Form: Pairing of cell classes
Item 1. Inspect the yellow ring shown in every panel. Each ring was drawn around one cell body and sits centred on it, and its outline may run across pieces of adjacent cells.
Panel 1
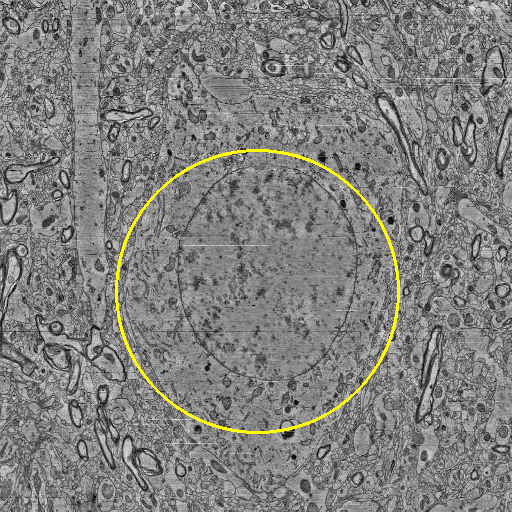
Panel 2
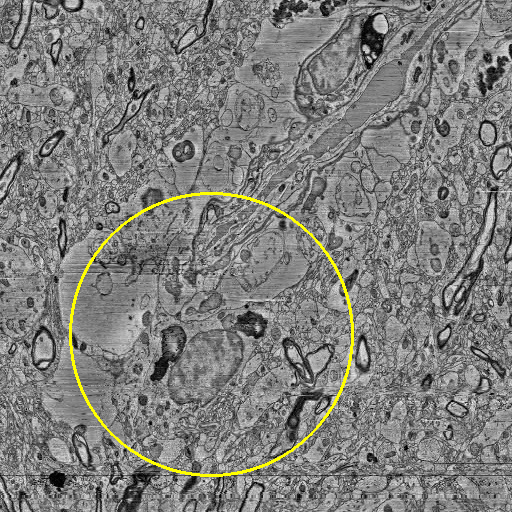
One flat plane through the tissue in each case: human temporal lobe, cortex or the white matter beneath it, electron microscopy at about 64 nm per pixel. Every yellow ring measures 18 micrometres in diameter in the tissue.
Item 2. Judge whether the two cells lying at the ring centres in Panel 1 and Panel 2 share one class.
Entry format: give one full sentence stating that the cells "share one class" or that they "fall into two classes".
The cells at the ring centres in Panel 1 and Panel 2 fall into two classes.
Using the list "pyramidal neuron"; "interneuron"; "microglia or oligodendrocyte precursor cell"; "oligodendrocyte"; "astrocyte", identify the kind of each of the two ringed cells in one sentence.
The first is a pyramidal neuron and the second is an oligodendrocyte.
